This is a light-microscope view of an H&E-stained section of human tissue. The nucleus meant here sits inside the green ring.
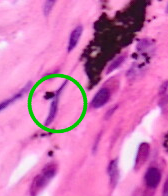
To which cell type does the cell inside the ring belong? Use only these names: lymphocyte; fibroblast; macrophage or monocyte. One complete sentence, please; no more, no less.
Cytologically, the cell inside the ring is to be regarded as a fibroblast.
